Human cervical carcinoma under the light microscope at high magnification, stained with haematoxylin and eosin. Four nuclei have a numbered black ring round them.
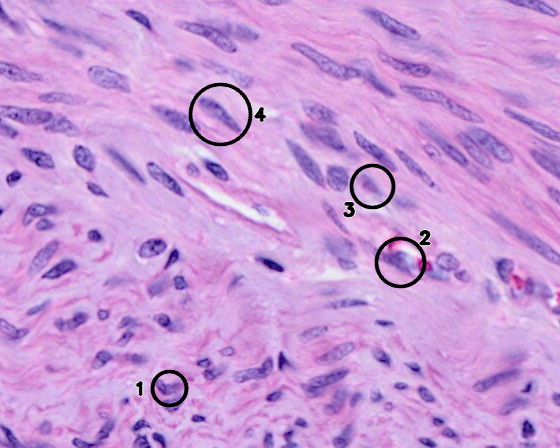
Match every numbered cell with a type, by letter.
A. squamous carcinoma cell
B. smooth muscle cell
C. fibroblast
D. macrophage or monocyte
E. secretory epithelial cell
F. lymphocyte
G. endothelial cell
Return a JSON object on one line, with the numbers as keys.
{"1": "B", "2": "G", "3": "C", "4": "C"}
